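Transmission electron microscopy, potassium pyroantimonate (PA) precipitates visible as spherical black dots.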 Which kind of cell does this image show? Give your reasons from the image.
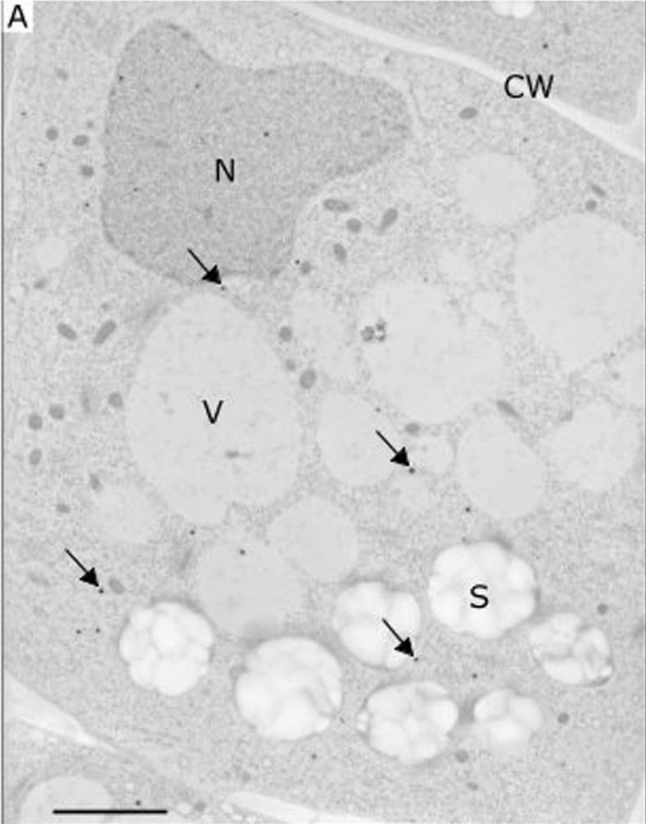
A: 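Root statocytes. A cluster of large pale starch-filled bodies lies toward the lower part of the cell. A large nucleus sits at the top of the cell, on the opposite side from that cluster. Several rounded vacuoles occupy the middle of the cell, surrounded by dense cytoplasm.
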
